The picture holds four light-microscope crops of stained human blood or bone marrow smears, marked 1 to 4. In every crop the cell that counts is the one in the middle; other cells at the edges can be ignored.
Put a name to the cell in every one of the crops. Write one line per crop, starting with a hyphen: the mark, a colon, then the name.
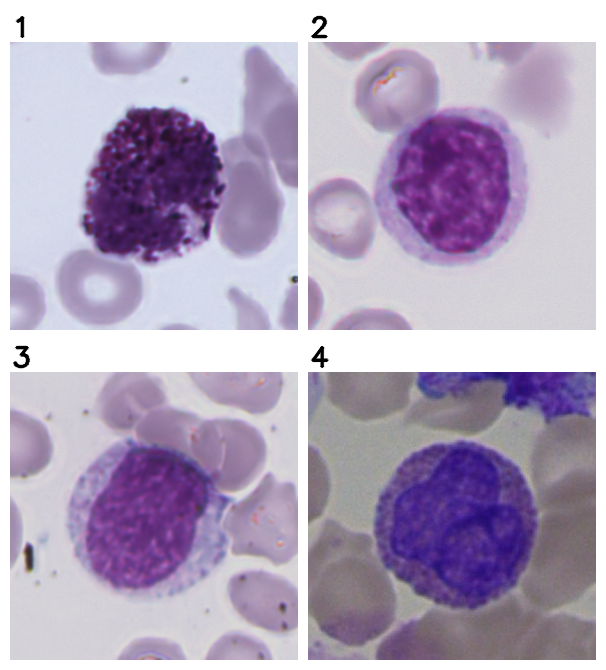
- 1: basophil
- 2: myelocyte
- 3: myelocyte
- 4: eosinophil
